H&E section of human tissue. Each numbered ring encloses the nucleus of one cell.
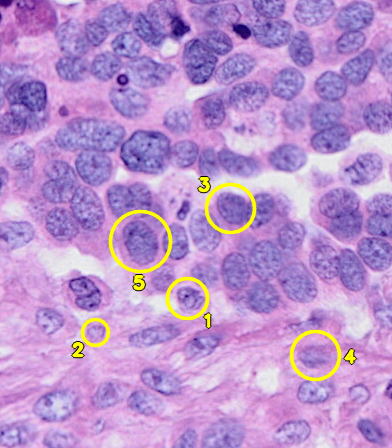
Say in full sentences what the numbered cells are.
Cell 1 is a macrophage or monocyte. Cells 2 and 4 are fibroblasts. Cells 3 and 5 are carcinoma cells.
